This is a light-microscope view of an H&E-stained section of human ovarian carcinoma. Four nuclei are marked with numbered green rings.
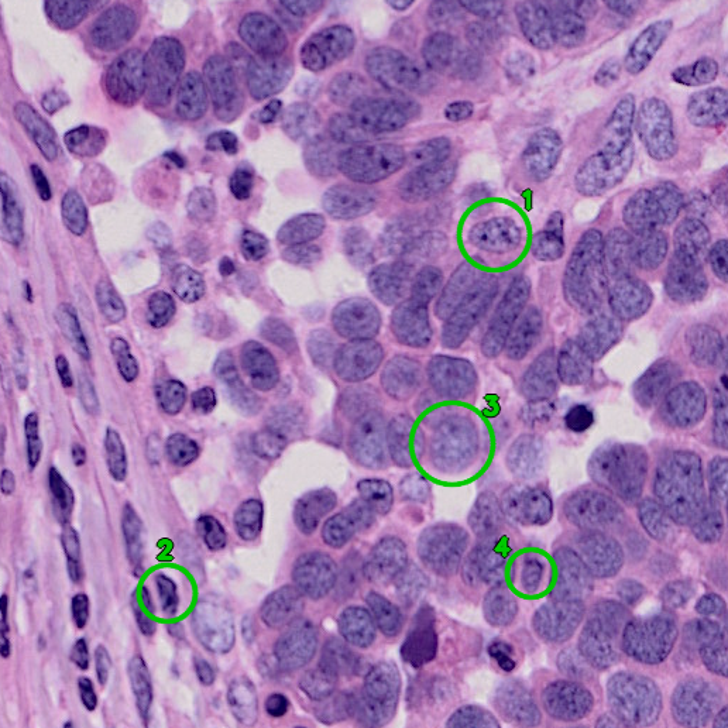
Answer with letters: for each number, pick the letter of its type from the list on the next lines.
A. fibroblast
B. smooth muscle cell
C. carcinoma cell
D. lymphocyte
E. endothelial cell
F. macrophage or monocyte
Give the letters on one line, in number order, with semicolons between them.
F; D; C; F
